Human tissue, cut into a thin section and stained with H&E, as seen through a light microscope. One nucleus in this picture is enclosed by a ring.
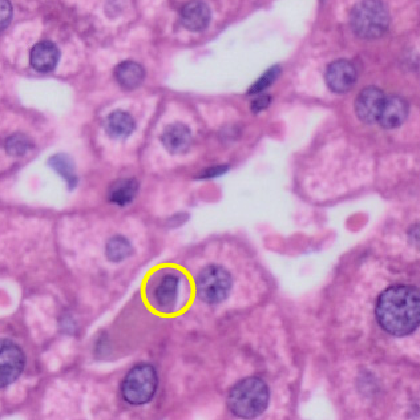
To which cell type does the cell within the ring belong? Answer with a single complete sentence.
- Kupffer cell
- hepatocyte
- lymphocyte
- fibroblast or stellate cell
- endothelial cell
The cell meant here is a Kupffer cell.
